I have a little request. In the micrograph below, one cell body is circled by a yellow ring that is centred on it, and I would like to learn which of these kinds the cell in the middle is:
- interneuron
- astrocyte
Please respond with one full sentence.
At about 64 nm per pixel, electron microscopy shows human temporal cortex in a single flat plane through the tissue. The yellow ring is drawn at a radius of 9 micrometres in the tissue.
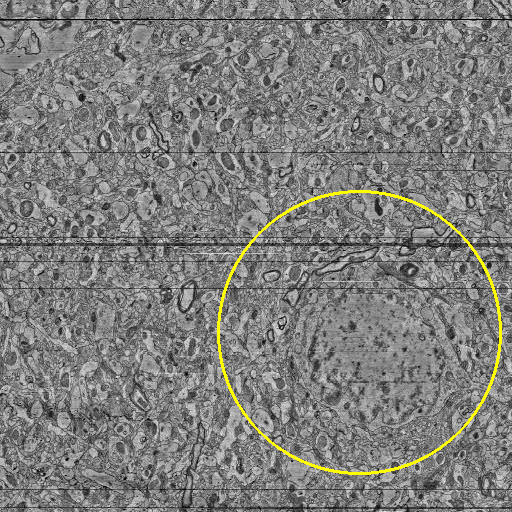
The cell sitting in the middle of the yellow ring in the micrograph is an interneuron.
